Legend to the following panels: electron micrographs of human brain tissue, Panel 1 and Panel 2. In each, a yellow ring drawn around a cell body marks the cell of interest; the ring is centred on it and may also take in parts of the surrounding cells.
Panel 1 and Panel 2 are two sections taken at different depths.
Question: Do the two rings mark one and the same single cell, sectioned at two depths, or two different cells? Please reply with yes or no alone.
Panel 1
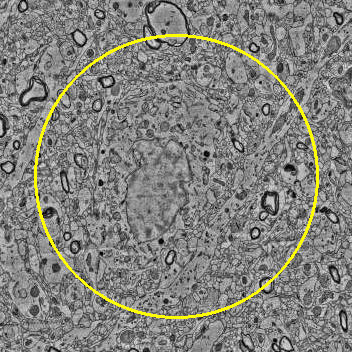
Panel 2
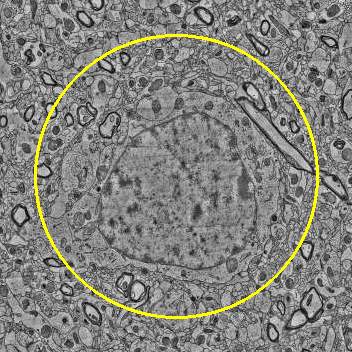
no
